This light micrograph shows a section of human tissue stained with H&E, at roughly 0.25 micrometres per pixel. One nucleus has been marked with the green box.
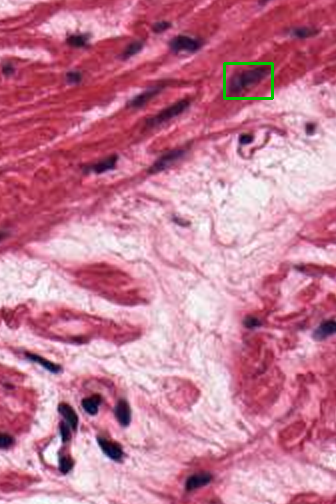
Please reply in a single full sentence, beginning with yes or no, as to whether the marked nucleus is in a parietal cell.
No, the nucleus carrying the mark does not come from a parietal cell.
